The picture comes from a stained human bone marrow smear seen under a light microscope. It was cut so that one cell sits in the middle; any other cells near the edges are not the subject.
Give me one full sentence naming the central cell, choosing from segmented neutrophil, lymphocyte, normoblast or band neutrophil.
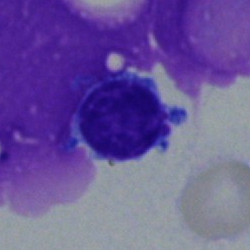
In short, the cell at the center is a lymphocyte.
